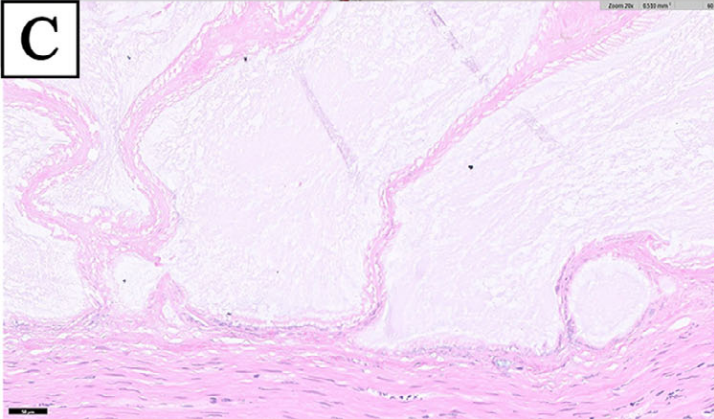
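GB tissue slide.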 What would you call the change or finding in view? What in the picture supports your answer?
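Large spaces are filled with pale, faintly pink, amorphous material. Thin folded mucosal layers outline these filled spaces.
Accumulated luminal mucins.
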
